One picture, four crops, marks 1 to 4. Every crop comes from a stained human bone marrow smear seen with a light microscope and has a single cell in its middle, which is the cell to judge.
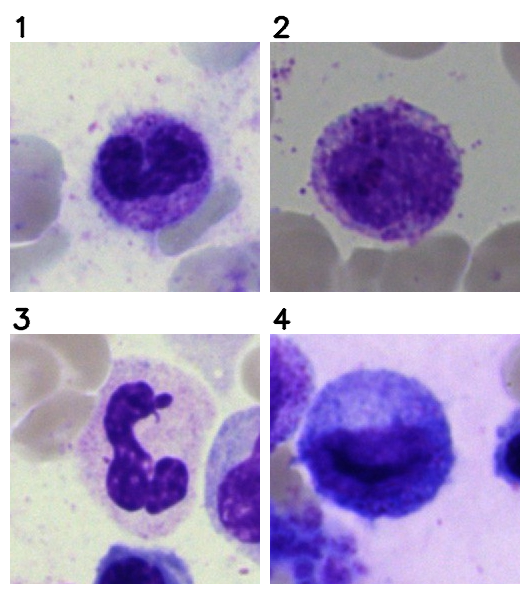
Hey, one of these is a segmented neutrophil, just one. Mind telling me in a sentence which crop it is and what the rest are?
Identified in crop 3 is a segmented neutrophil, whereas crop 1 is a band neutrophil, crop 2 is a basophil and crop 4 is a promyelocyte.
